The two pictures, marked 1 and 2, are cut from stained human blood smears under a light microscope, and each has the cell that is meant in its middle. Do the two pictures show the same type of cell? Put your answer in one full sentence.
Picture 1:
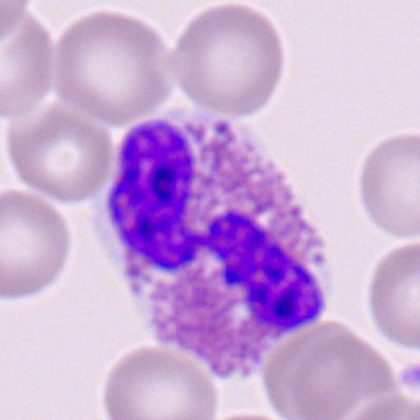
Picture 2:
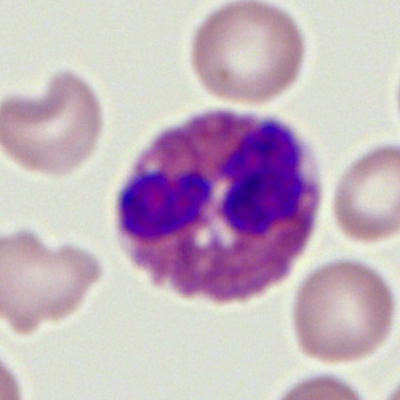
Yes, they are the same type: both are eosinophils.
